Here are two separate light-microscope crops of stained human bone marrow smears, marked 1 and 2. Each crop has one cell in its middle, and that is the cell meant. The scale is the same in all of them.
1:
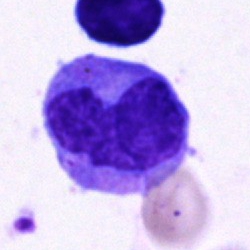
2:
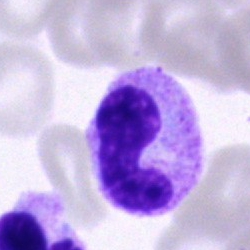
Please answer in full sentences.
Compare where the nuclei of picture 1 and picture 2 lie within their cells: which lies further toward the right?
In picture 1 the nucleus is shifted more toward the right.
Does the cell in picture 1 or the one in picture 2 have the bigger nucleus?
Larger is the nucleus in picture 1, at roughly 1.5 times the area of the other.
